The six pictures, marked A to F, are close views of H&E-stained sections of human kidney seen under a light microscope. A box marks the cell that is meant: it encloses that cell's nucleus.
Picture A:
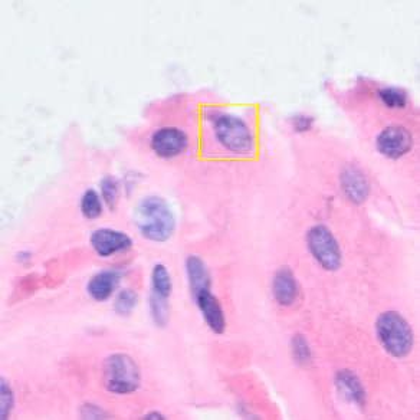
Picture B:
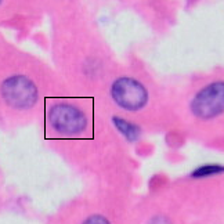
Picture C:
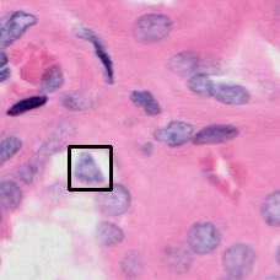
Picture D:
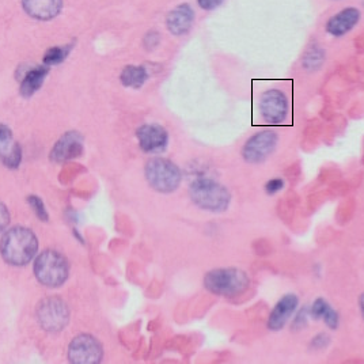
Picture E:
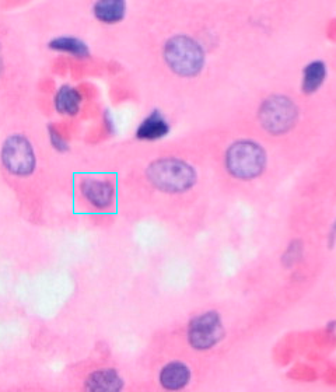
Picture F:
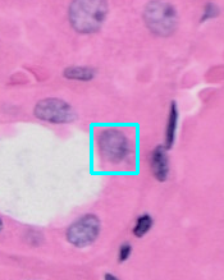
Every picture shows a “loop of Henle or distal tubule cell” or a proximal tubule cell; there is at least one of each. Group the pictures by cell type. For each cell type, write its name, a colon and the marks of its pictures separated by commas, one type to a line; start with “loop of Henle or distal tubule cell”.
loop of Henle or distal tubule cell: A, C, D, F
proximal tubule cell: B, E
